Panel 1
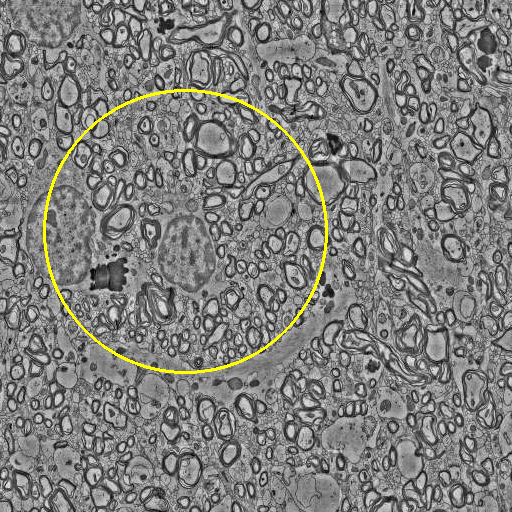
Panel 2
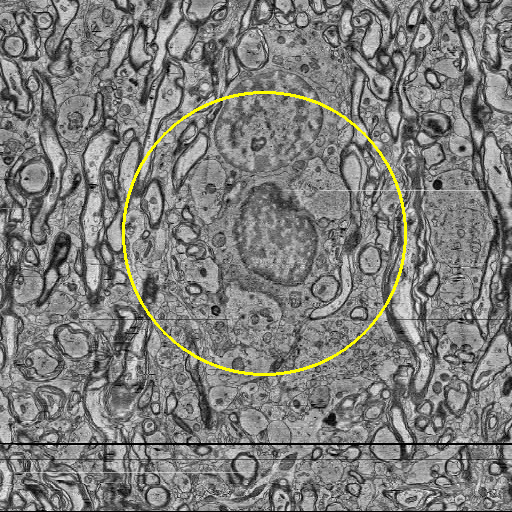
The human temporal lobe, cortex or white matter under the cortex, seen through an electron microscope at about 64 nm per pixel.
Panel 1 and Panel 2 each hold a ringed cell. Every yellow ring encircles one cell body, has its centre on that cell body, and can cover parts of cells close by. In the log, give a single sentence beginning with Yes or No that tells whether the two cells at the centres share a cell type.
Yes, in Panel 1 and Panel 2 the centred cells share a cell type.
